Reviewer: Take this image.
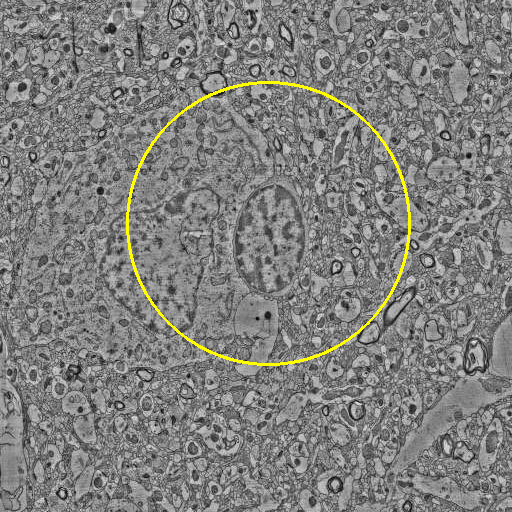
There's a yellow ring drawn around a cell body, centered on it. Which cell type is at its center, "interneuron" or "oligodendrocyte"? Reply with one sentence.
At the center of the yellow ring is an oligodendrocyte.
